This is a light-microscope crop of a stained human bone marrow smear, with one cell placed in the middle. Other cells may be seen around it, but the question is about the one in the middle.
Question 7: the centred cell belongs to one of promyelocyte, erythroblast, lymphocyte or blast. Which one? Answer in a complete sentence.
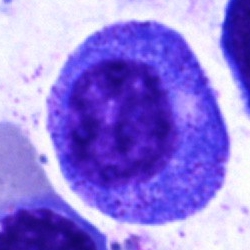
Whatever else lies nearby, the middle cell is a promyelocyte.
